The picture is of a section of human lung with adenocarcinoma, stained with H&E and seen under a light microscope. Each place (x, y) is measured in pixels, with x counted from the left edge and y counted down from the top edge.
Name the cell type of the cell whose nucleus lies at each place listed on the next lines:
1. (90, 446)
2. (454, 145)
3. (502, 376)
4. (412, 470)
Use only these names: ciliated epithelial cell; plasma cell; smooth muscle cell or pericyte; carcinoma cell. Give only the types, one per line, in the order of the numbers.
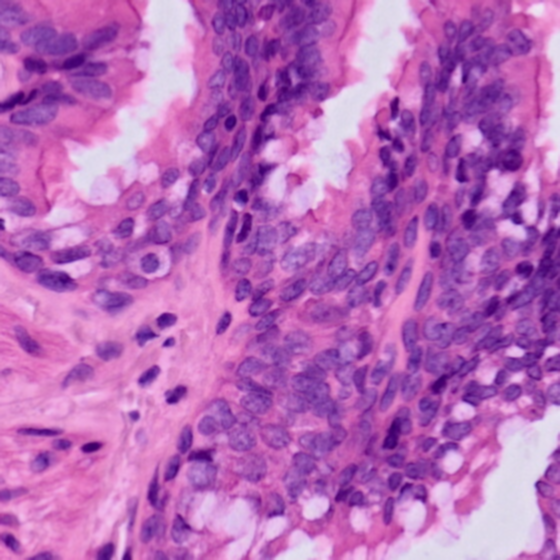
smooth muscle cell or pericyte
ciliated epithelial cell
ciliated epithelial cell
ciliated epithelial cell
